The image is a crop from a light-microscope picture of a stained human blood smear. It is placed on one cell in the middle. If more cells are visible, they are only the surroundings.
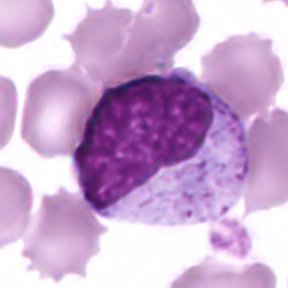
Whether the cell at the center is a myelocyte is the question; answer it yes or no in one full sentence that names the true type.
No, the cell located centrally is a metamyelocyte rather than a myelocyte.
